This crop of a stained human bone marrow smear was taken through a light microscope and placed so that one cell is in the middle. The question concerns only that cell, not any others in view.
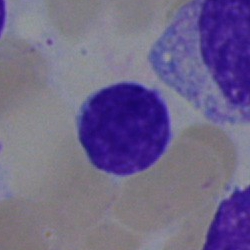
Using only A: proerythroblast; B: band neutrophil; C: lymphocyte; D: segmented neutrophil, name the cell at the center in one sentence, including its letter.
What sits in the middle of the crop is a lymphocyte, and option C is correct.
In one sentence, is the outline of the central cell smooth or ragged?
From every side, the cell boundary is smooth and free of projections.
